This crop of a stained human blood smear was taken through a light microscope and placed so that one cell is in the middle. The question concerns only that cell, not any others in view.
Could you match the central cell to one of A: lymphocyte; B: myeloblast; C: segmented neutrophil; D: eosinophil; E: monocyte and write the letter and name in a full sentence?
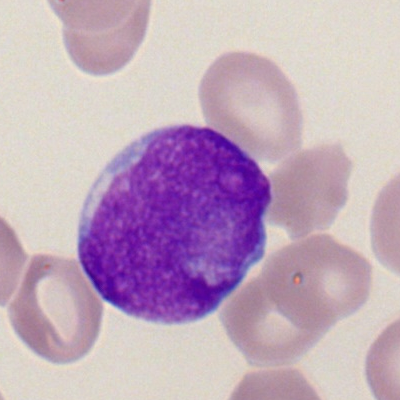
The cell in the middle is correctly identified as a myeloblast in option B.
